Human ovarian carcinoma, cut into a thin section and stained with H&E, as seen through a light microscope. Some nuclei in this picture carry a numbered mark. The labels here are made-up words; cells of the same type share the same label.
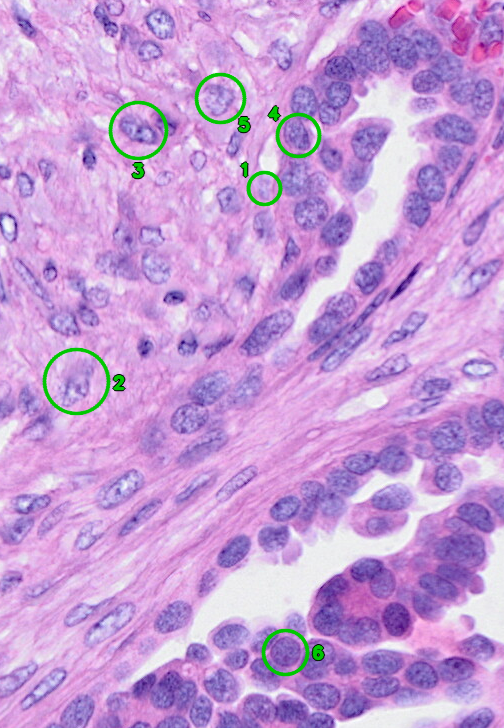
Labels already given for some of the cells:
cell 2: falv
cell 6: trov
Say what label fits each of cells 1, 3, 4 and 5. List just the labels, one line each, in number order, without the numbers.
falv
falv
trov
falv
